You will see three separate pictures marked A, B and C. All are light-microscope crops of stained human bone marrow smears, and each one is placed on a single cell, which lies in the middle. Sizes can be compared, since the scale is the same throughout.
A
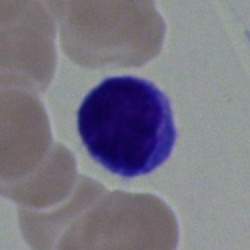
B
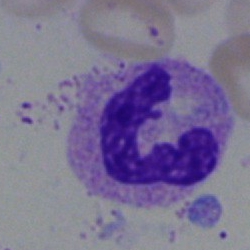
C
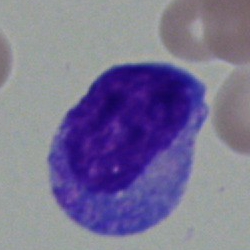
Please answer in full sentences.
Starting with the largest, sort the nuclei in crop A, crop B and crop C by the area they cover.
From the largest down, the order is C, B, A.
